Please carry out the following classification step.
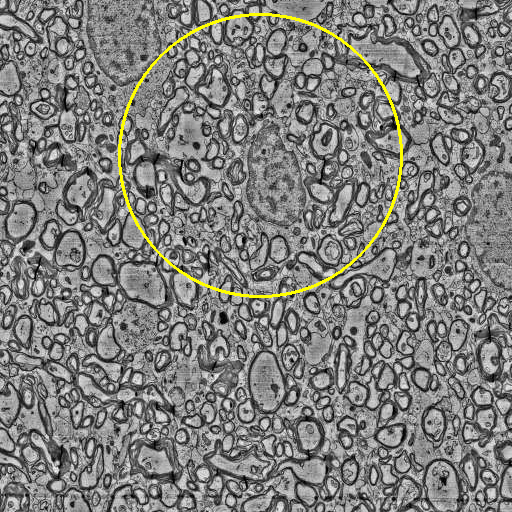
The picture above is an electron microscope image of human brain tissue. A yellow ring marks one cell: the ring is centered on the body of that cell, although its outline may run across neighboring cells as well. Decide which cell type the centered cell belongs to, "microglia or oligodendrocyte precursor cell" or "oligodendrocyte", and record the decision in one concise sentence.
The cell centered in the yellow ring is an oligodendrocyte.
